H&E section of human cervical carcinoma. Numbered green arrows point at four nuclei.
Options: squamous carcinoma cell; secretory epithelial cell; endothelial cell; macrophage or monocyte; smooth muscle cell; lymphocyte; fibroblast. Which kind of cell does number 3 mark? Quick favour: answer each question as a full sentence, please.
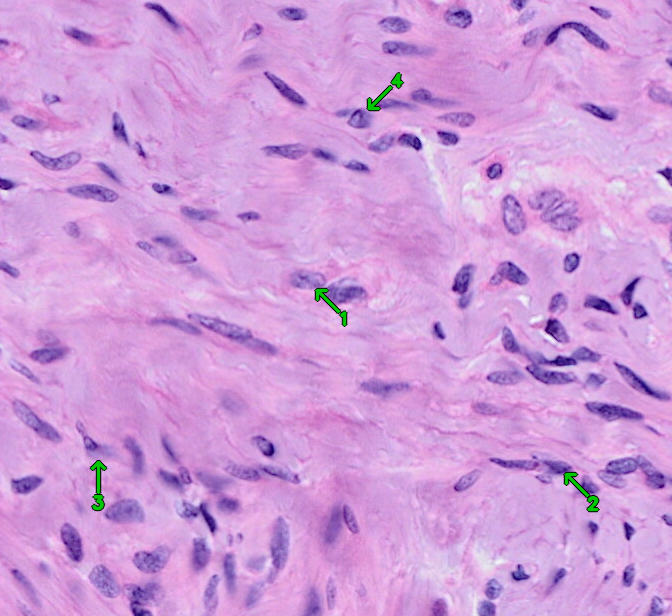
Classified as a fibroblast is the cell with the number 3.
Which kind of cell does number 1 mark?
Cell 1 should be recorded as an endothelial cell.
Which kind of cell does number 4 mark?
The nucleus marked 4 is the nucleus of a fibroblast.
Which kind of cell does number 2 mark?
The mark numbered 2 indicates the nucleus of a fibroblast.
